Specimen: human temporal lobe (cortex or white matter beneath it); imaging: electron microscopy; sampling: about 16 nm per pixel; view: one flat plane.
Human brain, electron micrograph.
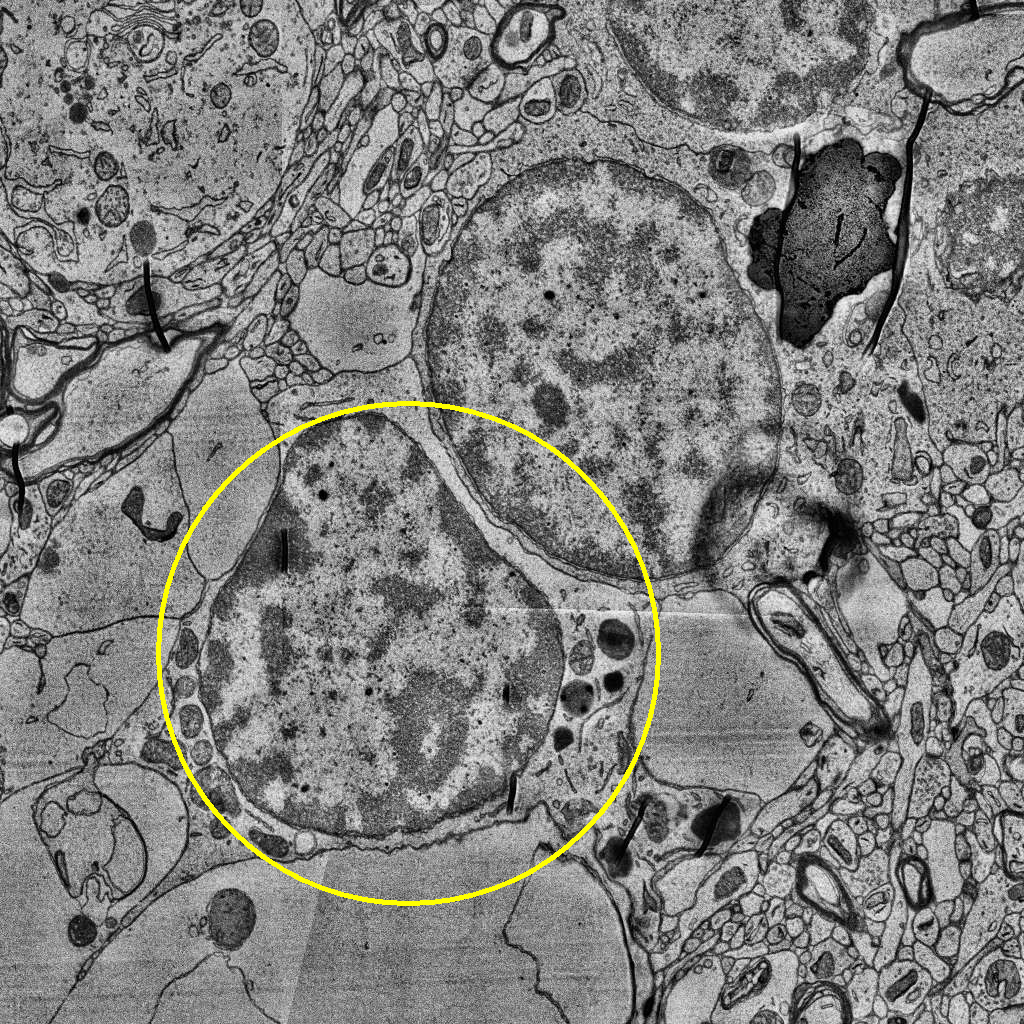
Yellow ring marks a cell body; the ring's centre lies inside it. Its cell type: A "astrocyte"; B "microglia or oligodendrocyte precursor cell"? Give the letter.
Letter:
B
